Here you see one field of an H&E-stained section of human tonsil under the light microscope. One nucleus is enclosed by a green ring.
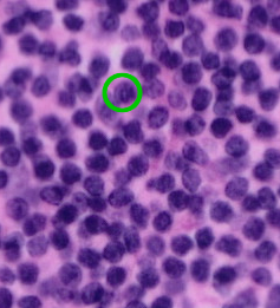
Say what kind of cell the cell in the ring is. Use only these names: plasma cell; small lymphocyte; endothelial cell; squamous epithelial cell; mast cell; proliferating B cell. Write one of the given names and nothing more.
small lymphocyte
